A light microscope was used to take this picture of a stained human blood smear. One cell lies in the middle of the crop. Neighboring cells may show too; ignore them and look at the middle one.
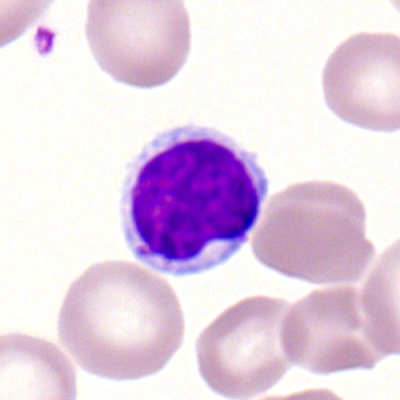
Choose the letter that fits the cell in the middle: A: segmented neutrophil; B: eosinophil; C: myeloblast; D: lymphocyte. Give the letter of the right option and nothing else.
D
